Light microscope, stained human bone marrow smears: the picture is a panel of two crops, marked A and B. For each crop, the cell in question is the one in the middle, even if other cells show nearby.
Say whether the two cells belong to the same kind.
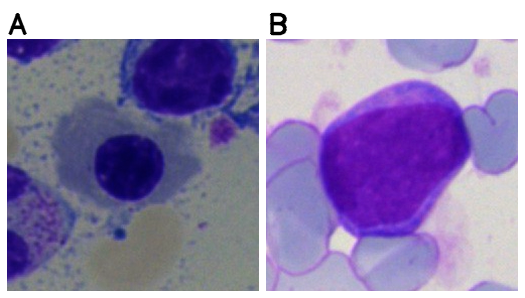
no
